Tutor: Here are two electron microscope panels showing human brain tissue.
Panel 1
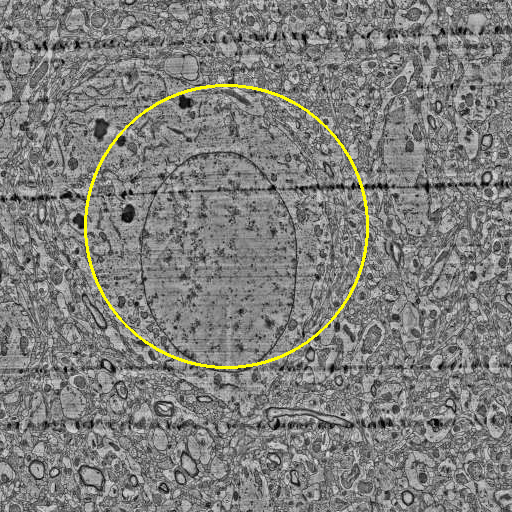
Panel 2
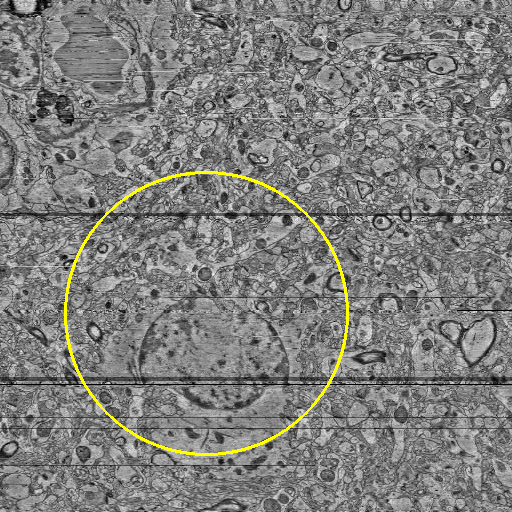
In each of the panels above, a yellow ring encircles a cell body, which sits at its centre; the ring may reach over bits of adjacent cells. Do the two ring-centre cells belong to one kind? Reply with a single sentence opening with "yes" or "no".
No, the two cells sitting at the ring centres in the panels belong to two kinds.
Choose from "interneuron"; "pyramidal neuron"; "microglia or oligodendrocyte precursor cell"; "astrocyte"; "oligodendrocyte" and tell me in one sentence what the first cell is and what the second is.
What the first ring is centred on is a pyramidal neuron; what the second ring is centred on is an astrocyte.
